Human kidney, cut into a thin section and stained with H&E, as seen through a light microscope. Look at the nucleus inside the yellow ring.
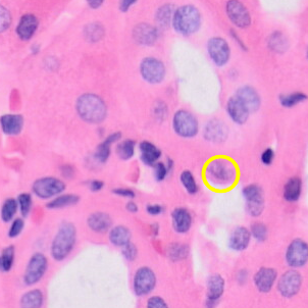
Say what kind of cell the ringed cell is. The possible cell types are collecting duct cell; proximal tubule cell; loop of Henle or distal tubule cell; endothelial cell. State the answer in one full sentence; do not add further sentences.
As far as its identity is concerned, the ringed cell is a loop of Henle or distal tubule cell.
